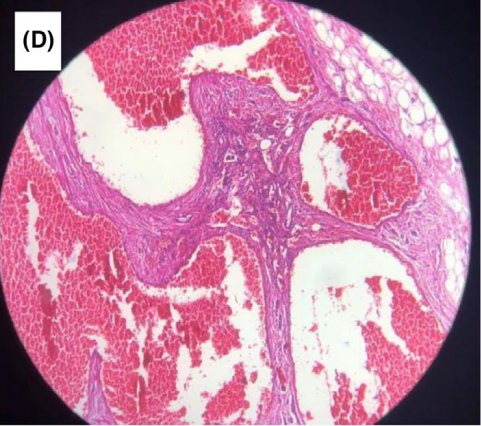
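This low-power view shows a vascular lesion composed of many large, irregular, dilated spaces filled with red blood cells. The spaces vary in size and shape, some rounded and others branching, and the blood within them is partly retracted, leaving white clefts. Between them run thin to moderately thick septa of pink fibrous tissue containing scattered small blood vessels and spindle-shaped cells with dark nuclei. At the upper right margin there is a cluster of clear, empty-looking fat cells.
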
